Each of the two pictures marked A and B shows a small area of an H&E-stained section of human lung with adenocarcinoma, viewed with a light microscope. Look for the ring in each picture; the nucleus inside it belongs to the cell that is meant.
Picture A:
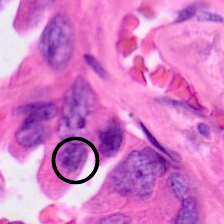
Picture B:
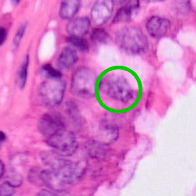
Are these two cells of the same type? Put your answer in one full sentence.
No, the types are not the same, since picture A shows a carcinoma cell and picture B a ciliated epithelial cell.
